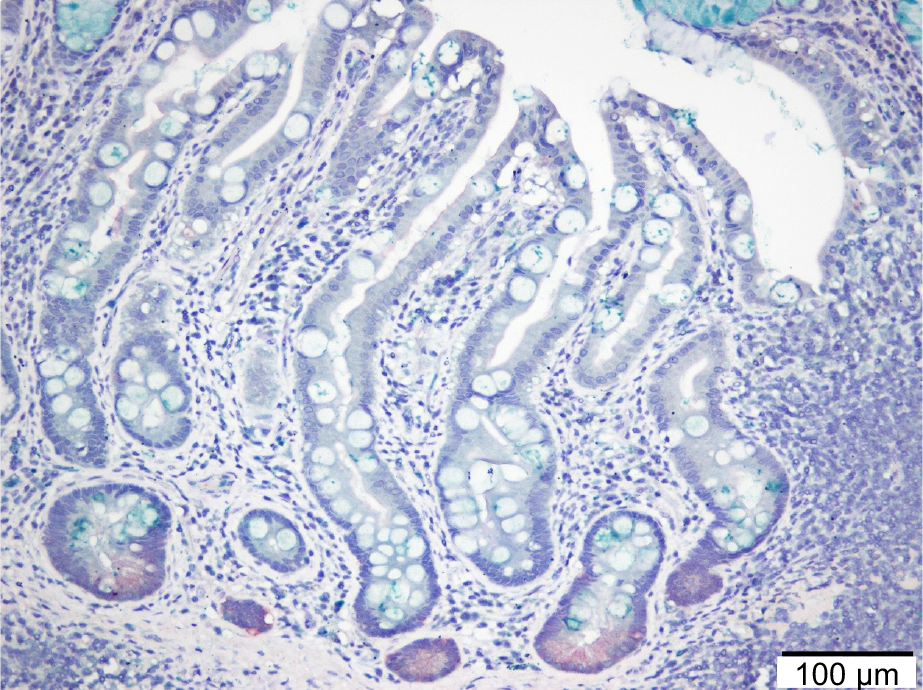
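This mucosa shows elongated crypts and villus-like folds lined by columnar epithelium interspersed with many round, clear, vacuolated mucin-filled cells, with cellular stroma between. The rounded bottoms of the crypts carry a reddish-pink stain, while small blue-green deposits lie in the upper epithelium and near the surface.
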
